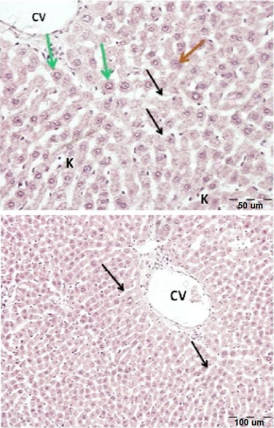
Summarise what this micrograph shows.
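Liver parenchyma with polygonal hepatocytes arranged in cords radiating from a central vein, separated by narrow sinusoids. Hepatocytes have pink cytoplasm and round, centrally placed nuclei with visible nucleoli. Small elongated cells with dark nuclei line the sinusoids. The lobular architecture is regular at the lower magnification.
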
